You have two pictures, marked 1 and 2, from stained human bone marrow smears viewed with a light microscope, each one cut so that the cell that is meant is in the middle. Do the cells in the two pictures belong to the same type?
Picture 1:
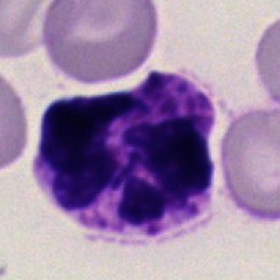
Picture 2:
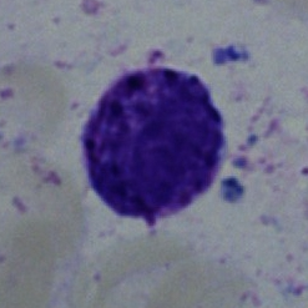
yes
